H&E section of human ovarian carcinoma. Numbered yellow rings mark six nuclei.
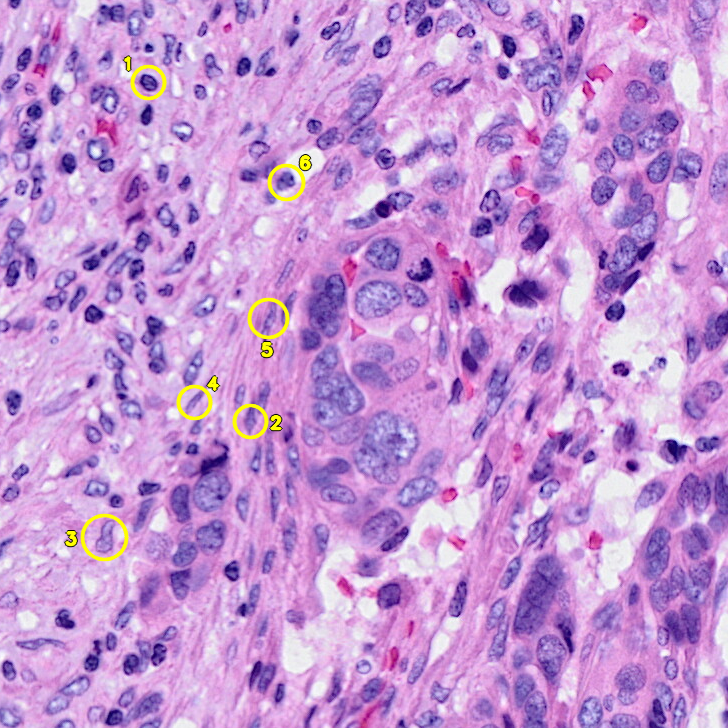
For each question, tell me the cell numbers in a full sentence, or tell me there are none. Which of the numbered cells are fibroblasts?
The cells that have been numbered 2, 3, 4 and 5 are fibroblasts.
